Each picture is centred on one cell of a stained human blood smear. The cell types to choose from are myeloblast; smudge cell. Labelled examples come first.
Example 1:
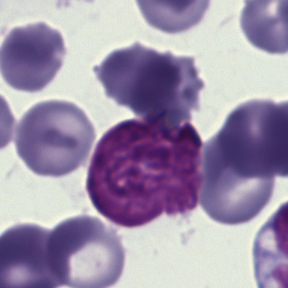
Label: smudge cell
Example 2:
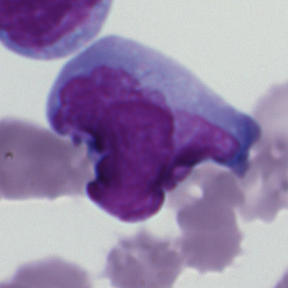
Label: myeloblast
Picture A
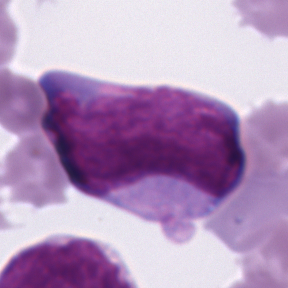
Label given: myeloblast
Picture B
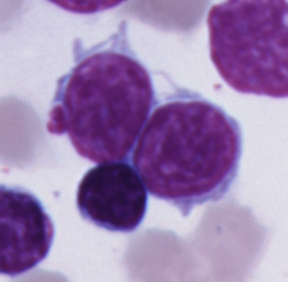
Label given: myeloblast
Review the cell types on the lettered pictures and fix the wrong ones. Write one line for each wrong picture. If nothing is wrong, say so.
No label is wrong.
